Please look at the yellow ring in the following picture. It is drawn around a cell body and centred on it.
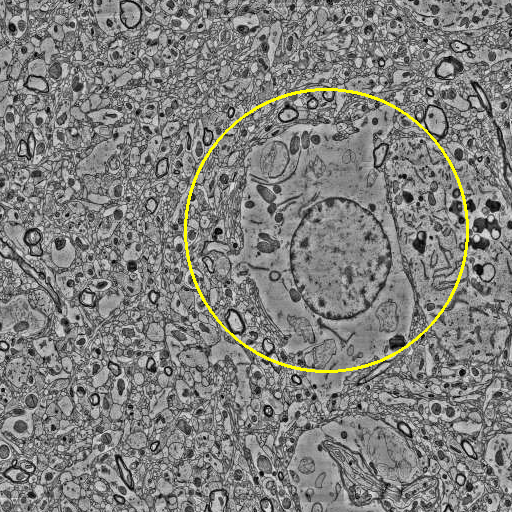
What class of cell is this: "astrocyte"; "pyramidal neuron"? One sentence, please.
The ring surrounds the cell body of an astrocyte.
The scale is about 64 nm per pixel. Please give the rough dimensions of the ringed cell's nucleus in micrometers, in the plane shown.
In this plane, the nucleus of the cell at the centre of the ring measures about 8 by 6 micrometres.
